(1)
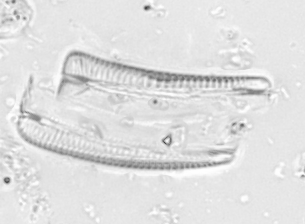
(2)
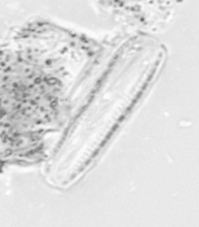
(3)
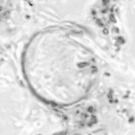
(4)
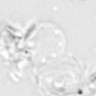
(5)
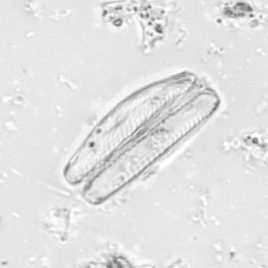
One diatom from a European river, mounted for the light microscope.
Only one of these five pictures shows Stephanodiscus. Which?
Picture 3.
